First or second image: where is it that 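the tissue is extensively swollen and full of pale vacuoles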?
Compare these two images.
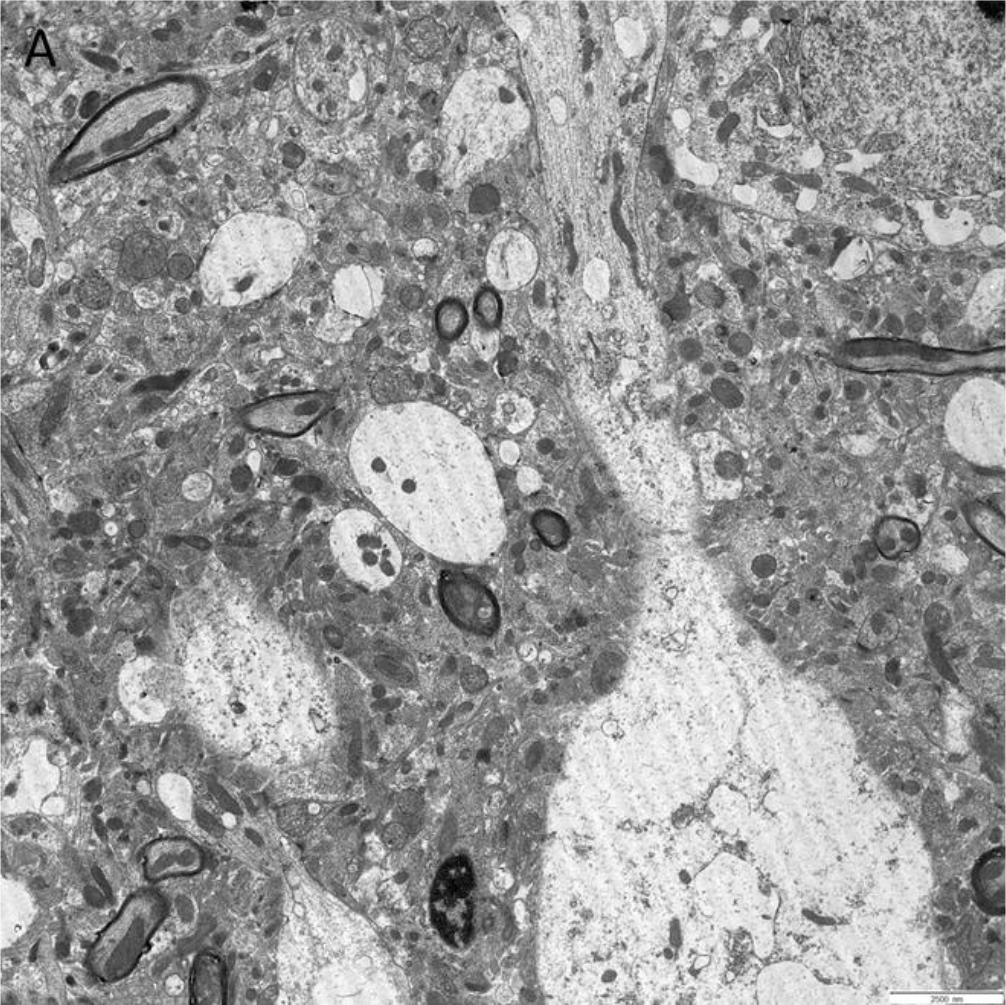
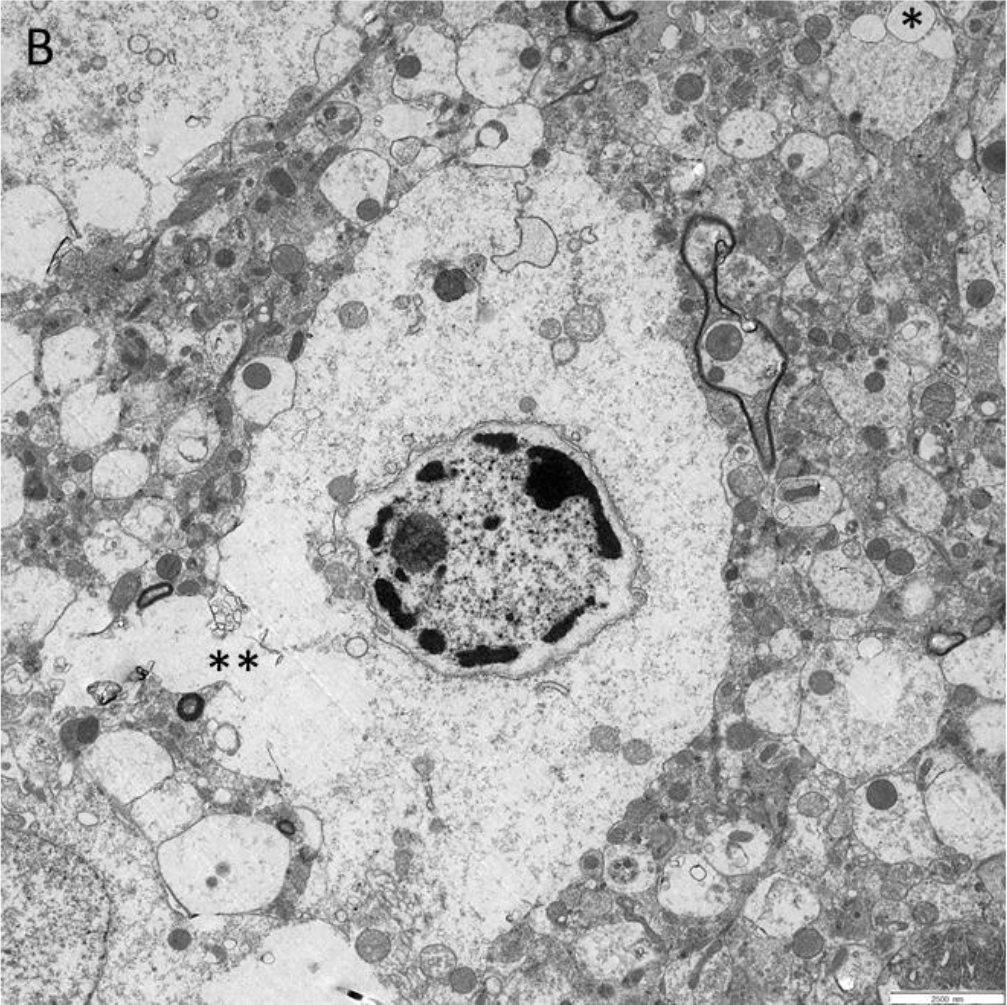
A: The second image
